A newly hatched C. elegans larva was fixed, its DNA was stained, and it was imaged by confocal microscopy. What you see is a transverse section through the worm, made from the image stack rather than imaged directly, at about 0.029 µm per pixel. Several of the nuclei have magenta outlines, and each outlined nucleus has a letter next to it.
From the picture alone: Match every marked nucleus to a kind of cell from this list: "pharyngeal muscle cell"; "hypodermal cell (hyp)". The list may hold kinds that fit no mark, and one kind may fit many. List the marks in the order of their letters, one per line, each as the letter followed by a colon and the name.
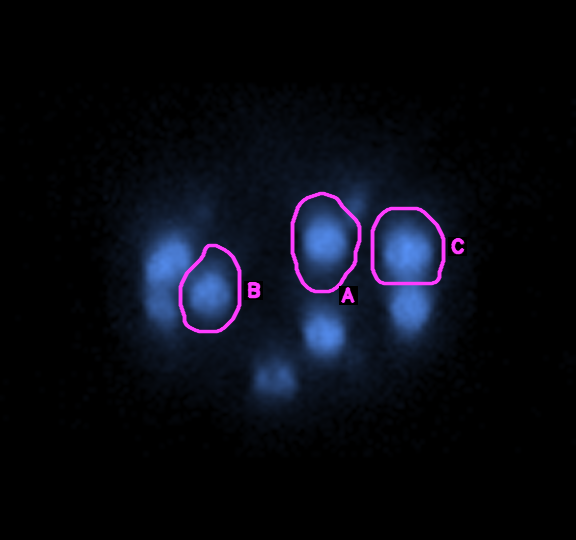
A: pharyngeal muscle cell
B: pharyngeal muscle cell
C: hypodermal cell (hyp)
